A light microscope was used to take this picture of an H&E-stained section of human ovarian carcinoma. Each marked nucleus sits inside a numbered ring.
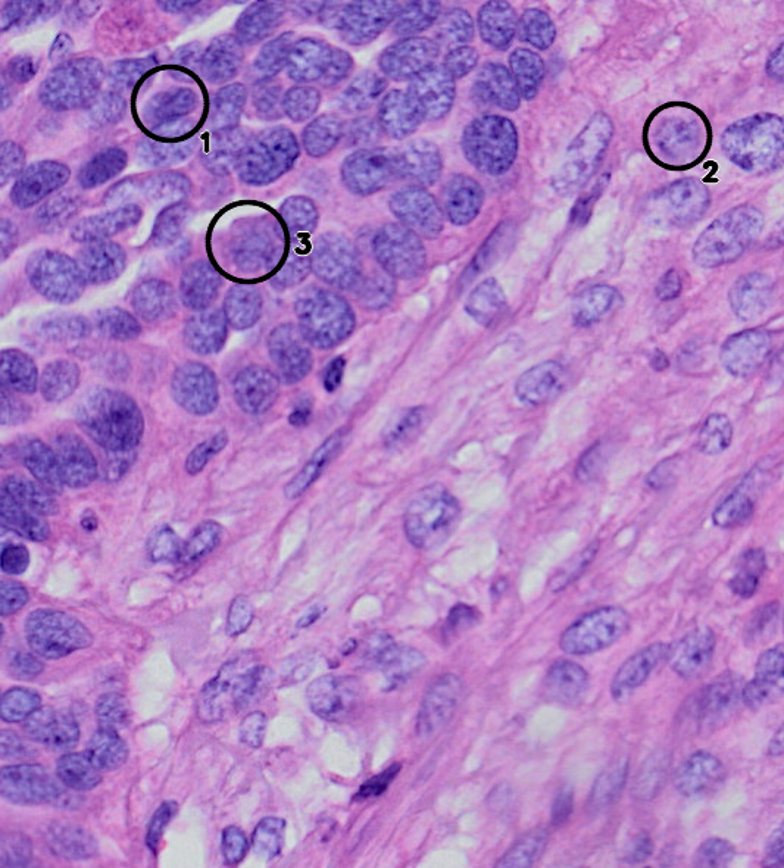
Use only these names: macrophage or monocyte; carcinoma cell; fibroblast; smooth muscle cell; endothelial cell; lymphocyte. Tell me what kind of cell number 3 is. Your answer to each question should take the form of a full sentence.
Belonging to a carcinoma cell is the nucleus that carries the number 3.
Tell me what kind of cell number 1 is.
The one labeled 1 is a carcinoma cell, to put it simply.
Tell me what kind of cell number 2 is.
The marked nucleus 2 is that of a fibroblast.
